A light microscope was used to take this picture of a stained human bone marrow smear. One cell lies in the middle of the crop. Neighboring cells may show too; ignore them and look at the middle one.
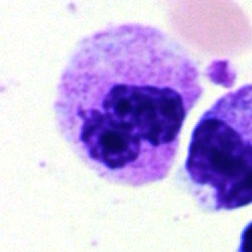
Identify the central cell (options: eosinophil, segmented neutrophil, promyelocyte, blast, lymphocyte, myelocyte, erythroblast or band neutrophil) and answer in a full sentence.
The centered cell in this crop is a segmented neutrophil.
